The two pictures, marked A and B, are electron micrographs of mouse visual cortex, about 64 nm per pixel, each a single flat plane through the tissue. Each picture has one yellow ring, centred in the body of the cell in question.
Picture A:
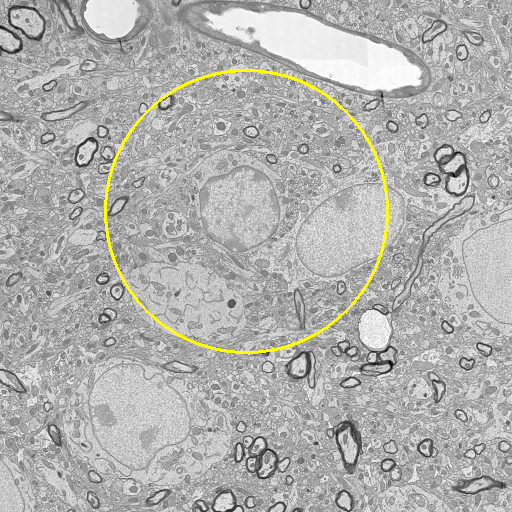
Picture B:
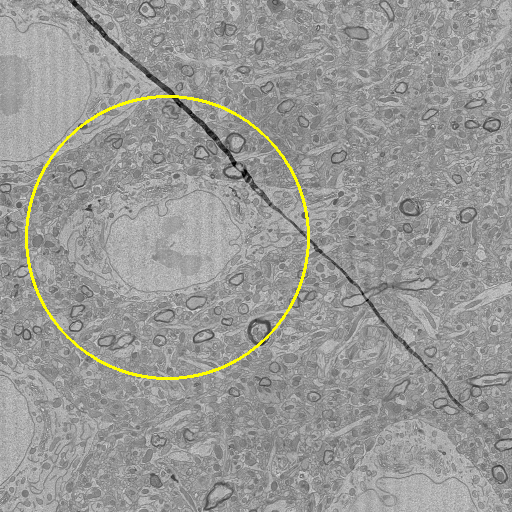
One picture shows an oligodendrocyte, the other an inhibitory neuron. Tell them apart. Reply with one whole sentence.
Picture A is of an oligodendrocyte, and picture B is of an inhibitory neuron.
